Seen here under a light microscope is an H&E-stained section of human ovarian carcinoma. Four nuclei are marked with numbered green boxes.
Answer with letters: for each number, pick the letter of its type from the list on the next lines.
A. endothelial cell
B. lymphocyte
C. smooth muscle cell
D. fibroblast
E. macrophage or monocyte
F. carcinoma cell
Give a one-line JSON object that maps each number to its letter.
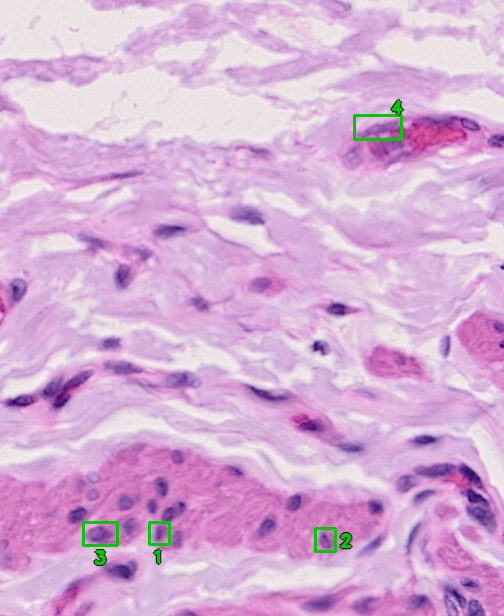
{"1": "C", "2": "C", "3": "C", "4": "A"}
